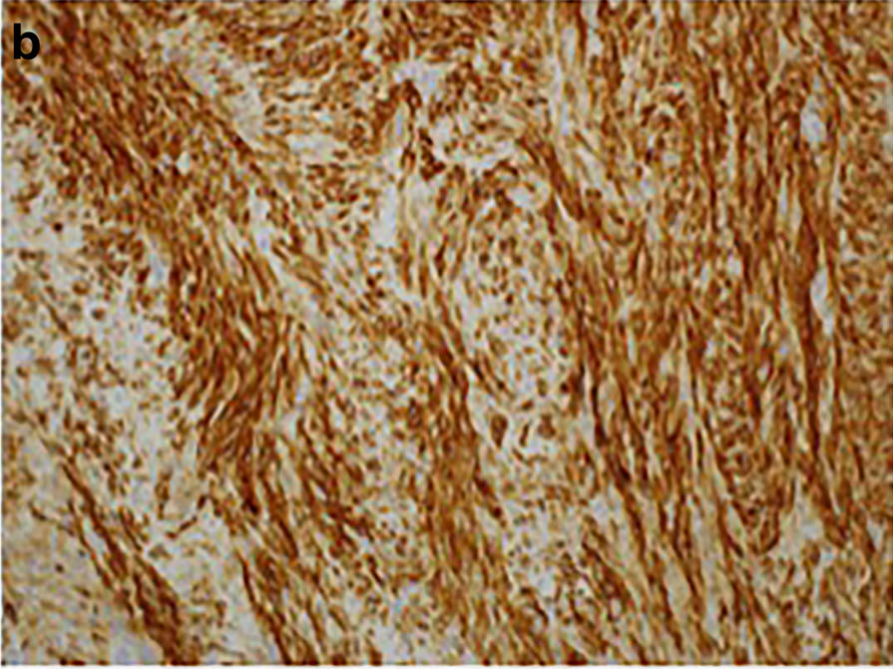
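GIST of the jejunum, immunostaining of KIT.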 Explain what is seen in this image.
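Spindle-shaped tumor cells in interlacing fascicles show strong, diffuse brown cytoplasmic staining. The brown stain traces the elongated cell bodies along the fascicles, with paler areas between the bundles.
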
